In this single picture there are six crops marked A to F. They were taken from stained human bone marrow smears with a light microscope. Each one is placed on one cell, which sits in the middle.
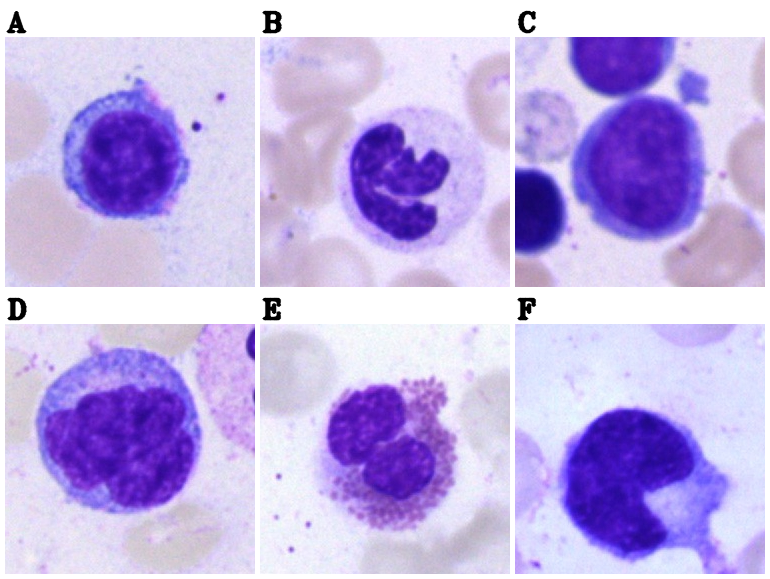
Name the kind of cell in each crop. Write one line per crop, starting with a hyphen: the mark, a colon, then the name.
- A: lymphocyte
- B: segmented neutrophil
- C: blast
- D: monocyte
- E: eosinophil
- F: metamyelocyte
